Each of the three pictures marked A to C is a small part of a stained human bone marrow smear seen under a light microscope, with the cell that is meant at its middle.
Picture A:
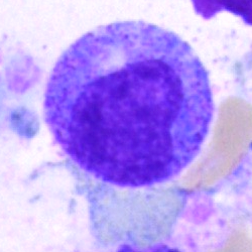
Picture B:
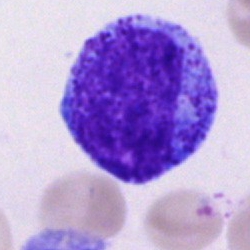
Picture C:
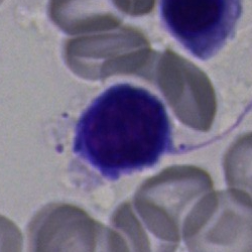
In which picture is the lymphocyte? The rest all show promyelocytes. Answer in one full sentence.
The lymphocyte is the one in picture C.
